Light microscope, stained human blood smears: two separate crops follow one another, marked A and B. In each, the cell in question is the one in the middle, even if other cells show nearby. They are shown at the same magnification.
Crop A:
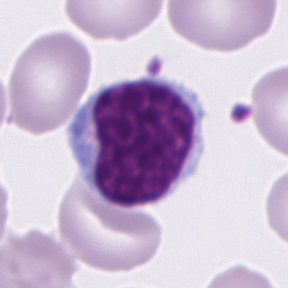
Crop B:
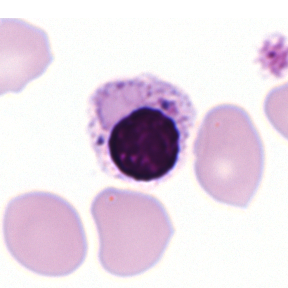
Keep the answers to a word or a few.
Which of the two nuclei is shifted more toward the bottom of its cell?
B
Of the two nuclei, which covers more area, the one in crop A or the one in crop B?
A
